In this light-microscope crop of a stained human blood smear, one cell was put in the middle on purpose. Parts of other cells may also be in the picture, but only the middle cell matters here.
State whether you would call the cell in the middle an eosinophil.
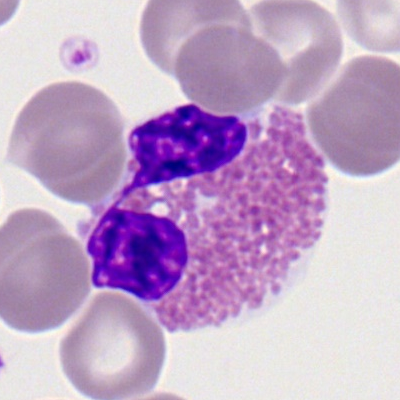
yes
